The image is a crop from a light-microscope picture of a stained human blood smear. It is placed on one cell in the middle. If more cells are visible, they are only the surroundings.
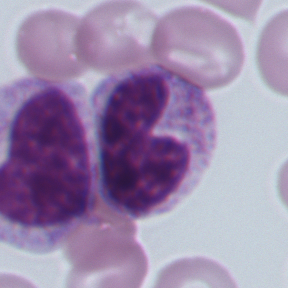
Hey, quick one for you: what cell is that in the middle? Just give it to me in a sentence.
In the crop, the cell of interest at the centre is a band neutrophil.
